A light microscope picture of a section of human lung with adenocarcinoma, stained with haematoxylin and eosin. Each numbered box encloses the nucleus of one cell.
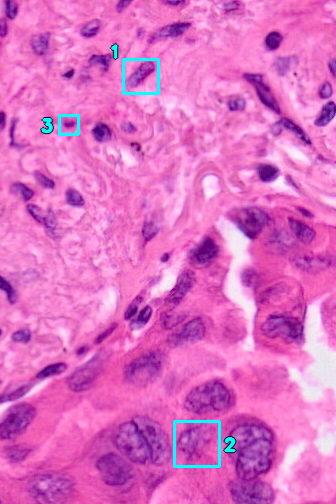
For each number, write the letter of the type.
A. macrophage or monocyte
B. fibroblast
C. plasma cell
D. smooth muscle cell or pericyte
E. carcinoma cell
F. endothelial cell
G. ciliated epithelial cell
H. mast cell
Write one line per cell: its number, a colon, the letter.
1: D
2: E
3: D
